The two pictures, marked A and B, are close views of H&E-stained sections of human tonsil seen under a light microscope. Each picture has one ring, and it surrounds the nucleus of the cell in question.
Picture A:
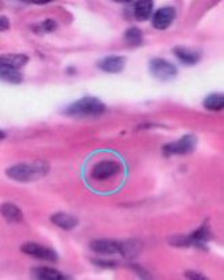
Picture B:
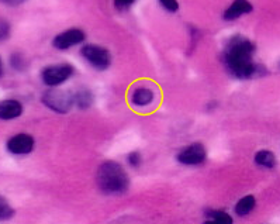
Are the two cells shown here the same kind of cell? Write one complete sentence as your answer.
Yes, both are mast cells.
